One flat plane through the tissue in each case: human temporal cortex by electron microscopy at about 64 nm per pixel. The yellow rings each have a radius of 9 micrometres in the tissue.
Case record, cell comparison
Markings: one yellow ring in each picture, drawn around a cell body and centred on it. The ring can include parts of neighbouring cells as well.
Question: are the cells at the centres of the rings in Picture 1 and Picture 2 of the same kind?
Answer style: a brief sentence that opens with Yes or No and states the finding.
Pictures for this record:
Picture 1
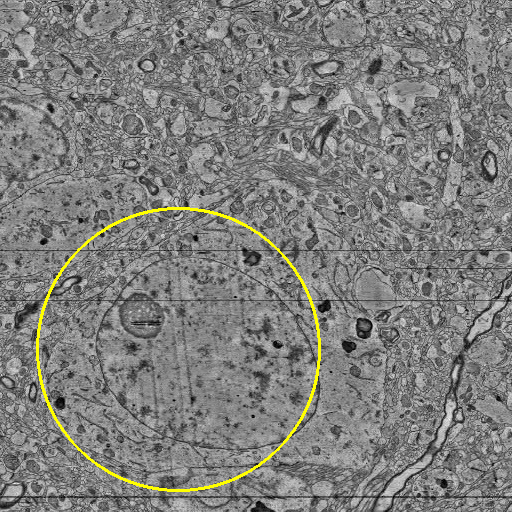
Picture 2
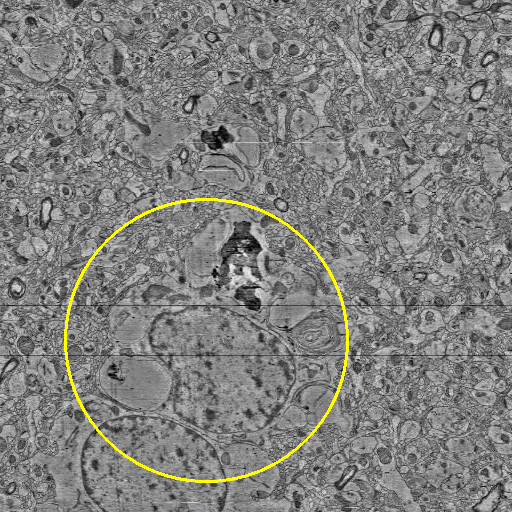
No, the cells in Picture 1 and Picture 2 are of two kinds.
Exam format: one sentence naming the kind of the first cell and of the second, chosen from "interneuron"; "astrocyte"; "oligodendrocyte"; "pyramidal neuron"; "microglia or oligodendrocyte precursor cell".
The first picture's cell is a pyramidal neuron, and the second picture's cell is an astrocyte.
